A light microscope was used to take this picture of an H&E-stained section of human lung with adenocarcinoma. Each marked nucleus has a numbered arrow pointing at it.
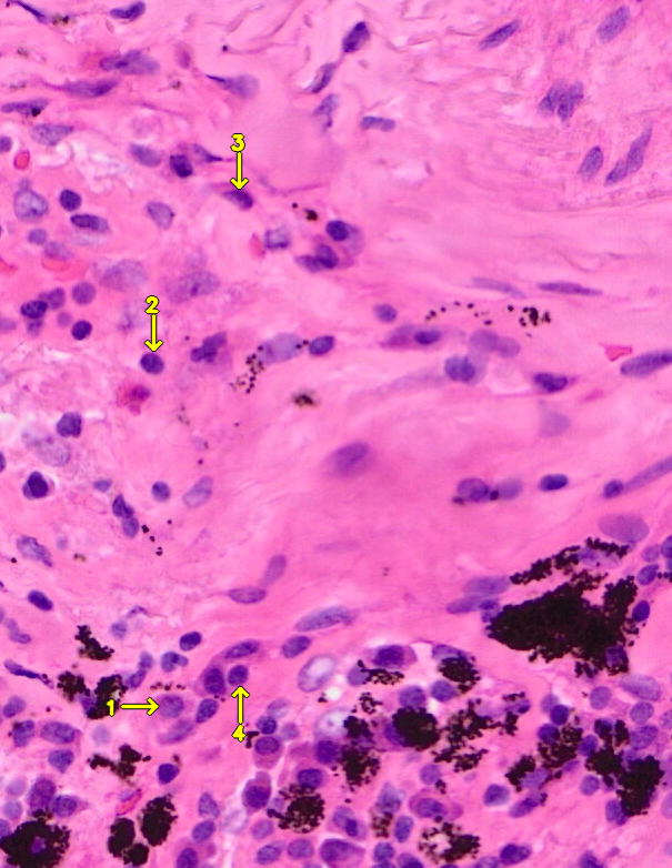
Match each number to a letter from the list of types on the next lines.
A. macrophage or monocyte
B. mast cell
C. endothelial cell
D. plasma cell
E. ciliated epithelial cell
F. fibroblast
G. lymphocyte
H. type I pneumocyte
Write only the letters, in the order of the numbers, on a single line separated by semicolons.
D; G; D; G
